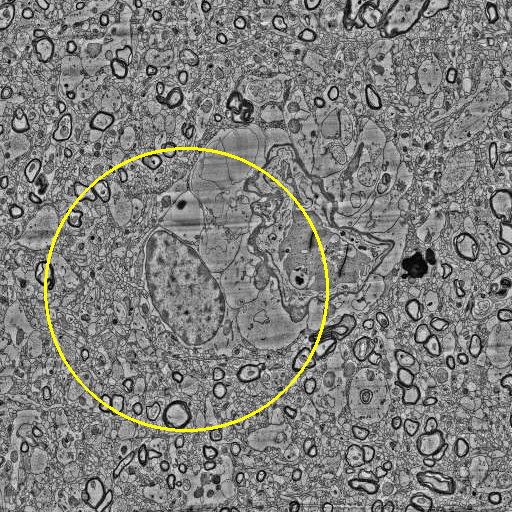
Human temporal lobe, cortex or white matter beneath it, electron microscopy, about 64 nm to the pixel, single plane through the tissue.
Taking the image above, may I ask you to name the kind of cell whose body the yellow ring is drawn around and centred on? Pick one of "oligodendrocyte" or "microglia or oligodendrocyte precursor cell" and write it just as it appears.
microglia or oligodendrocyte precursor cell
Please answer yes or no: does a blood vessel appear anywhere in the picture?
Yes, one is visible.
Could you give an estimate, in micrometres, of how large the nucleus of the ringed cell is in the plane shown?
About 8 by 4 micrometres in this plane; clearly longer than it is wide.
